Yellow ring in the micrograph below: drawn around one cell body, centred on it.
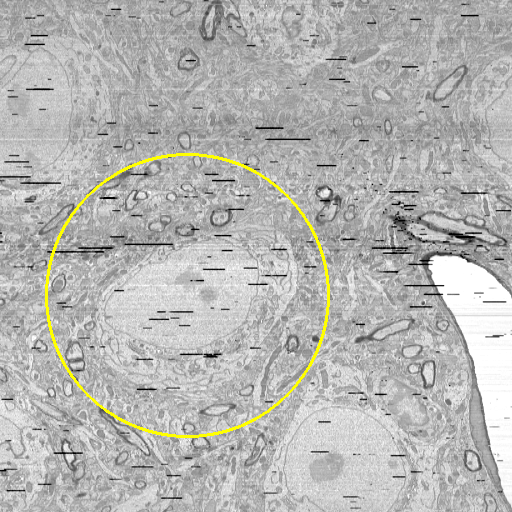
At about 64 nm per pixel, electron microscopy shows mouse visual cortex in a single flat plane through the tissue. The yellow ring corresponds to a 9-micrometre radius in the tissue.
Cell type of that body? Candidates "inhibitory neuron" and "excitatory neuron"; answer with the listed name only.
inhibitory neuron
